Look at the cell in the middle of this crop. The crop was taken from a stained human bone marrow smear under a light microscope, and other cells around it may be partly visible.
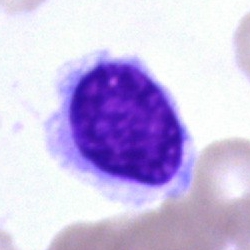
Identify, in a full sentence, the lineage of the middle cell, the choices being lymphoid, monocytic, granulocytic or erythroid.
Of the possible lineages, the central cell belongs to the lymphoid lineage.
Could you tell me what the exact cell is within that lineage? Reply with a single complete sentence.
In the center of this field lies a hairy cell.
